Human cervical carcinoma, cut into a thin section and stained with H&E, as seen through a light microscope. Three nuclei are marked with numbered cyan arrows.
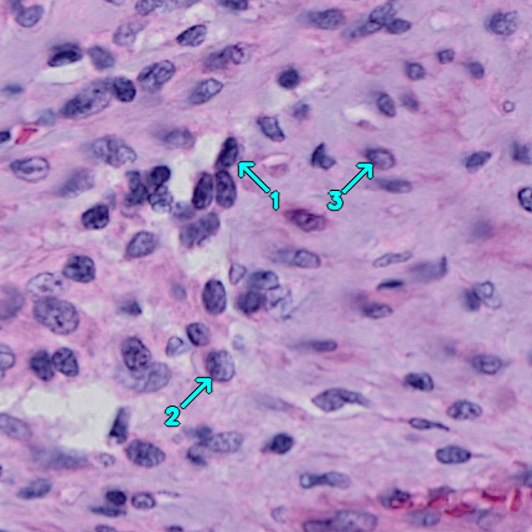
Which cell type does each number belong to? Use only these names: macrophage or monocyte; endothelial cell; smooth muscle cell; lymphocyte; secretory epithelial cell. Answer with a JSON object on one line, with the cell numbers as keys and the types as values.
{"1": "lymphocyte", "2": "macrophage or monocyte", "3": "smooth muscle cell"}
